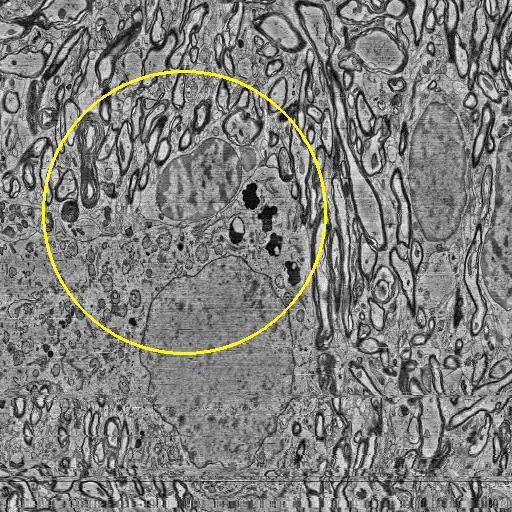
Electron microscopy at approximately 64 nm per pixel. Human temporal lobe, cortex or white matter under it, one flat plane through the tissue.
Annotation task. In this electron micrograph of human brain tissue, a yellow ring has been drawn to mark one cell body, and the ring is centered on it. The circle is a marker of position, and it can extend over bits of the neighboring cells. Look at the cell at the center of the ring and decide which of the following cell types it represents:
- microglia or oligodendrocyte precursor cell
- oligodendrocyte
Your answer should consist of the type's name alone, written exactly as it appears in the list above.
microglia or oligodendrocyte precursor cell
